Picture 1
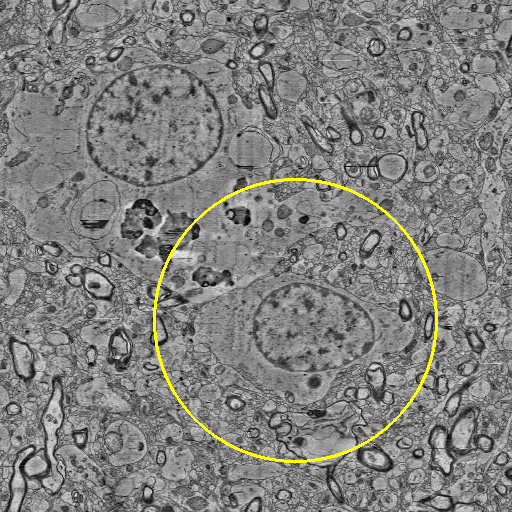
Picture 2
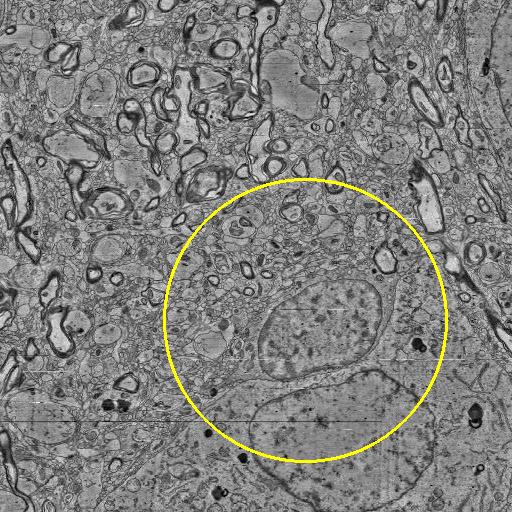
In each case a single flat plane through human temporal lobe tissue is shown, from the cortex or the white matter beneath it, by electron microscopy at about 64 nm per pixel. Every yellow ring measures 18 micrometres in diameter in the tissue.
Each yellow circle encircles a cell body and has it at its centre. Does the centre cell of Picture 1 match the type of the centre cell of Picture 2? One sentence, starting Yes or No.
No, the cell centred in Picture 1 and the one in Picture 2 have separate types.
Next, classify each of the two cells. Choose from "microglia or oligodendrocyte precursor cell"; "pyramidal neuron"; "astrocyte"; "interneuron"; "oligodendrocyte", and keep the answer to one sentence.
In the first picture it is a microglial cell or oligodendrocyte precursor cell; in the second it is an oligodendrocyte.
